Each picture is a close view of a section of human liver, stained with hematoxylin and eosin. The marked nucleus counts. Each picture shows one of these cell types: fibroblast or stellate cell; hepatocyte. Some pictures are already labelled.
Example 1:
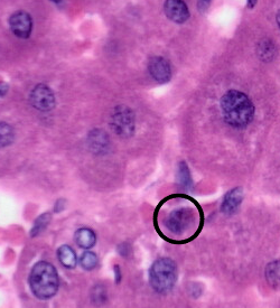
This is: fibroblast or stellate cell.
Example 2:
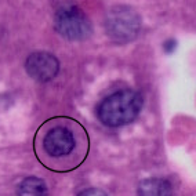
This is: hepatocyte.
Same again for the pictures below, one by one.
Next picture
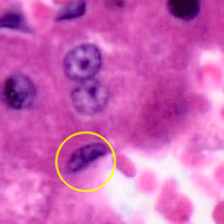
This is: fibroblast or stellate cell.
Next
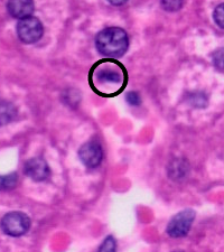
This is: fibroblast or stellate cell.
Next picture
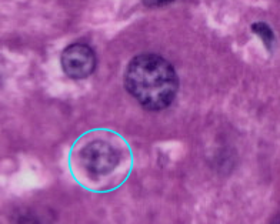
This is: hepatocyte.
